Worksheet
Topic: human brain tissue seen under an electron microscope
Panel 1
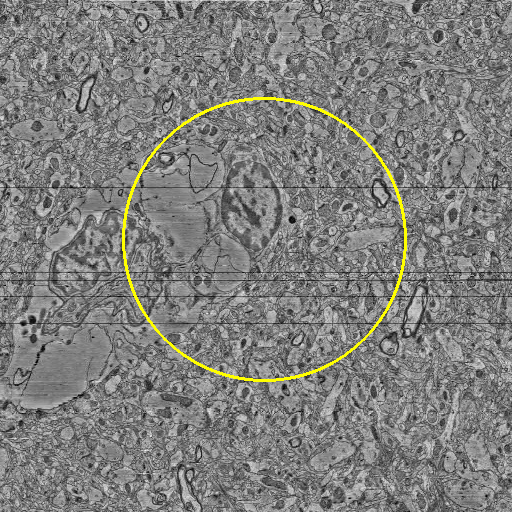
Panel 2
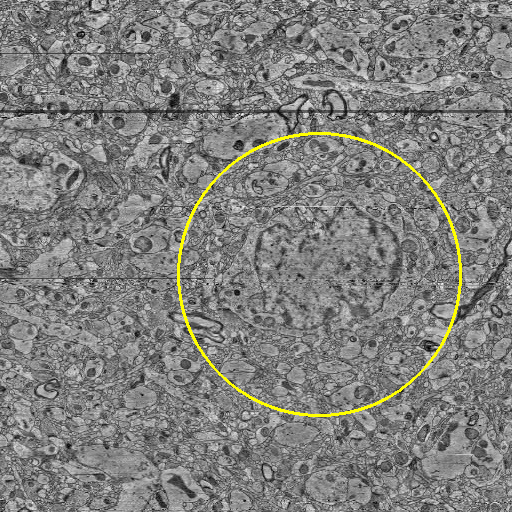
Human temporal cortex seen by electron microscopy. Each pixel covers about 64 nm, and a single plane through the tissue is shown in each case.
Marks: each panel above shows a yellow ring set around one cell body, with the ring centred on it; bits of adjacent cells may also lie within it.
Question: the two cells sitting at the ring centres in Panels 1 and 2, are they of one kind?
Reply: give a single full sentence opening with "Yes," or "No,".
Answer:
No, the two ring-centre cells in Panel 1 and Panel 2 are of two kinds.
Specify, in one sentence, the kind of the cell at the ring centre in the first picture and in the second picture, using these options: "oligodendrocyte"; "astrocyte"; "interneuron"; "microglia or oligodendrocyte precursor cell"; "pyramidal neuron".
So the first is a microglial cell or oligodendrocyte precursor cell, the second an interneuron.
